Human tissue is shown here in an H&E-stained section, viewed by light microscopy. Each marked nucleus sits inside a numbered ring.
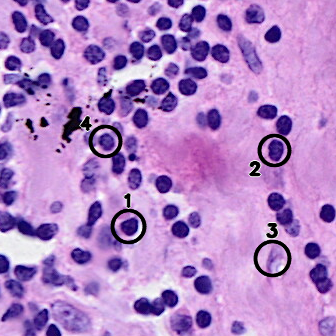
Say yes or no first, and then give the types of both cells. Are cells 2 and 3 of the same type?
No, cell 2 is a lymphocyte and cell 3 is a fibroblast.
